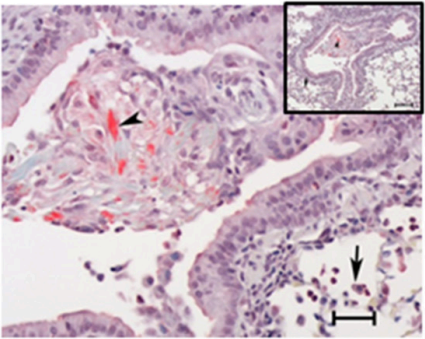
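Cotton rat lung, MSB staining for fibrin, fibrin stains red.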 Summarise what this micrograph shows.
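A bronchiole lined by tall columnar epithelium with purple nuclei holds in its lumen a mass of inflammatory cells. Among these cells lie bright red, nucleus-free streaks and clumps, with some pale blue fibrous material. Nearby alveolar spaces contain loose rounded free cells.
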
